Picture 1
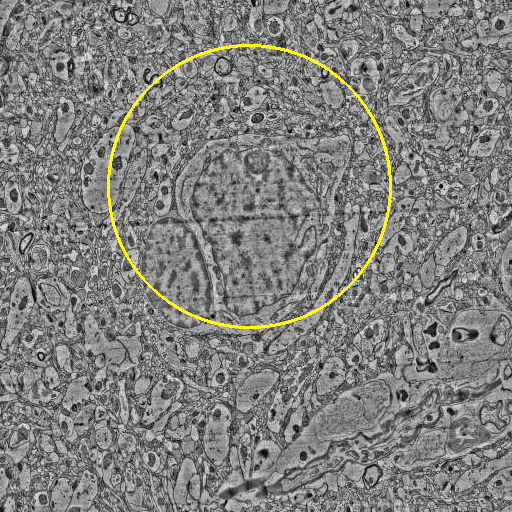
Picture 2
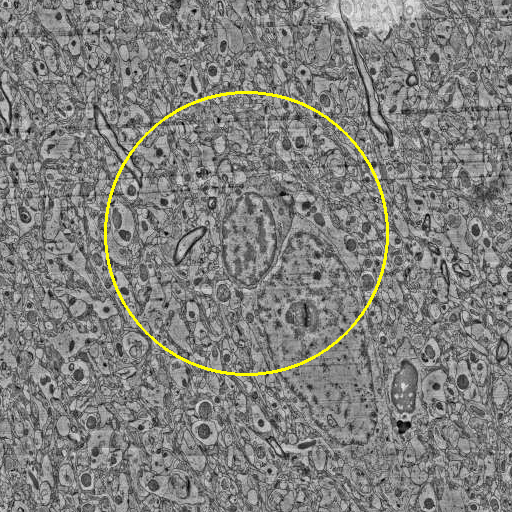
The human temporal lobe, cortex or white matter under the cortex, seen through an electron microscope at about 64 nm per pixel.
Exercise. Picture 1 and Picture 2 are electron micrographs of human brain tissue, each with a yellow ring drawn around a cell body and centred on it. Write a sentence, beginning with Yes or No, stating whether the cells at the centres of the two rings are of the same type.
No, the cells at the centres of the rings are of two types.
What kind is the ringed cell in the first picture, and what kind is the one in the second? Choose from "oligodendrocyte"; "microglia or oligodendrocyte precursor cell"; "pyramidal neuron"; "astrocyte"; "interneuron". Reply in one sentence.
The first cell is an interneuron; the second is an oligodendrocyte.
